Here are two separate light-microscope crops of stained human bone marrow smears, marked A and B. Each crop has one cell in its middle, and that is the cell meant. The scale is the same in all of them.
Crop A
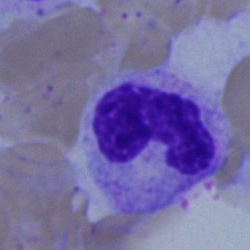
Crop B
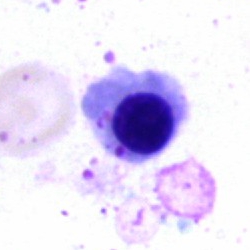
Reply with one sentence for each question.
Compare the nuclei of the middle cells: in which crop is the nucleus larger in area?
Larger is the nucleus in crop A, at roughly 2.5 times the area of the other.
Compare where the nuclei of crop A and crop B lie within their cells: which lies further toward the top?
In crop A the nucleus is shifted more toward the top.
